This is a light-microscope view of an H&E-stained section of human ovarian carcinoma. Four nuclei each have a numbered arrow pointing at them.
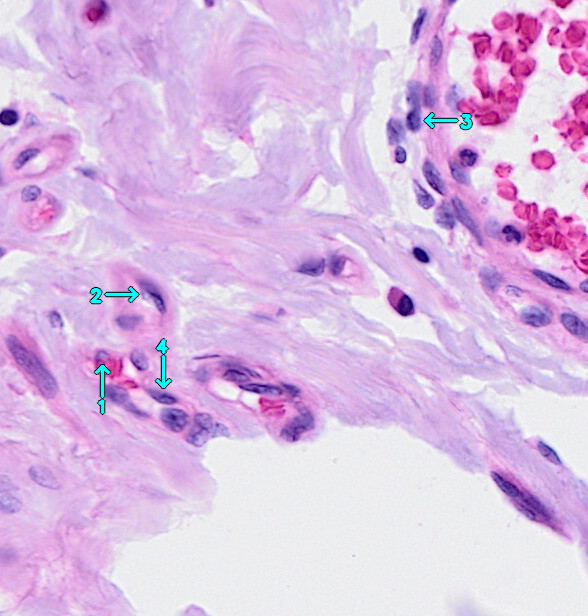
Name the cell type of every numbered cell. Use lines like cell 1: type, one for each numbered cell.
cell 1: endothelial cell
cell 2: endothelial cell
cell 3: lymphocyte
cell 4: endothelial cell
